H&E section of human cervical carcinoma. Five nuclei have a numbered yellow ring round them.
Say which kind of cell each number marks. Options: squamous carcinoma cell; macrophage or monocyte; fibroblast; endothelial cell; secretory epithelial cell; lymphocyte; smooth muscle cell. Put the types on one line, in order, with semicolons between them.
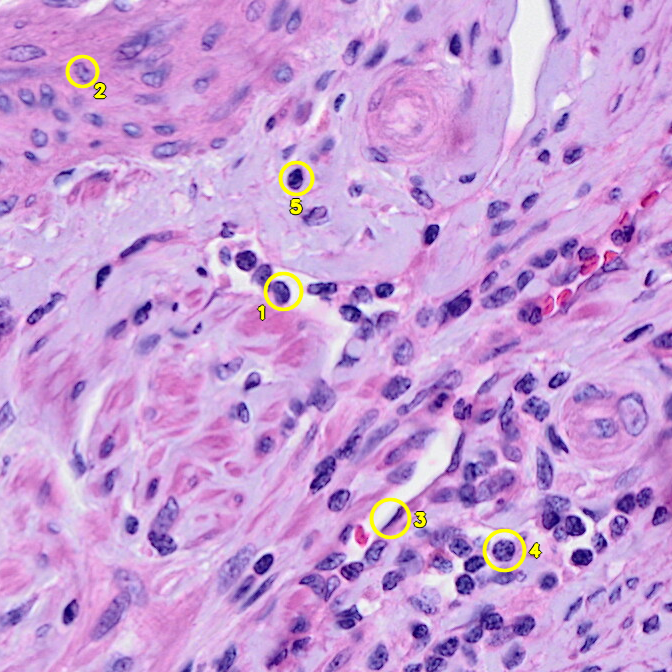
lymphocyte; smooth muscle cell; endothelial cell; lymphocyte; lymphocyte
